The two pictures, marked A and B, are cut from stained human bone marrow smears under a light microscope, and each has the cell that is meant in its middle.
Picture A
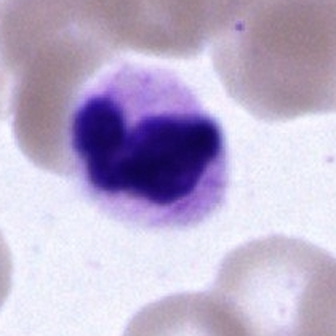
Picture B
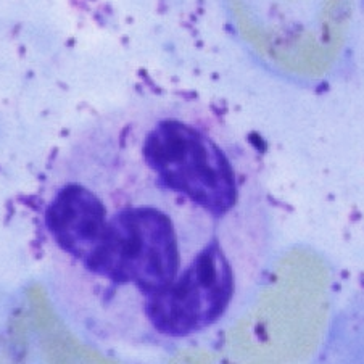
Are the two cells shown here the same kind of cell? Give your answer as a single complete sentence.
Yes, they are the same type: both are segmented neutrophils.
